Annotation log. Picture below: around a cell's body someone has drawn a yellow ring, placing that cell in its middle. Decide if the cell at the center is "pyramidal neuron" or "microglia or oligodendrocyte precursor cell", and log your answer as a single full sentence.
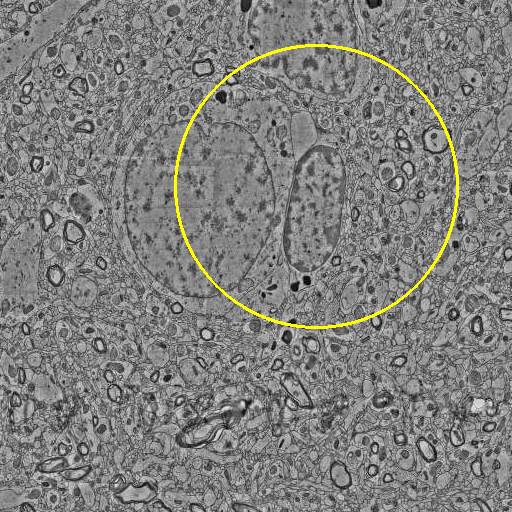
My entry records a microglial cell or oligodendrocyte precursor cell as the cell sitting at the center of the yellow ring.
